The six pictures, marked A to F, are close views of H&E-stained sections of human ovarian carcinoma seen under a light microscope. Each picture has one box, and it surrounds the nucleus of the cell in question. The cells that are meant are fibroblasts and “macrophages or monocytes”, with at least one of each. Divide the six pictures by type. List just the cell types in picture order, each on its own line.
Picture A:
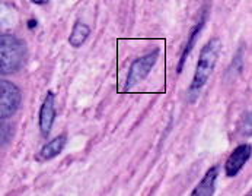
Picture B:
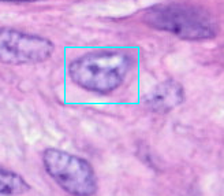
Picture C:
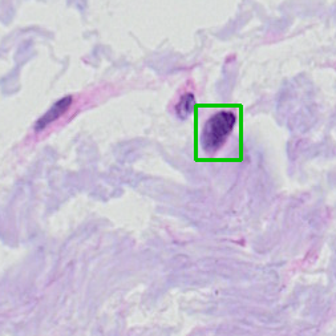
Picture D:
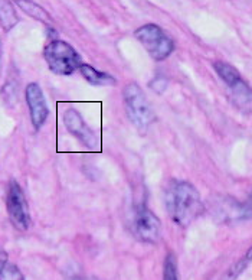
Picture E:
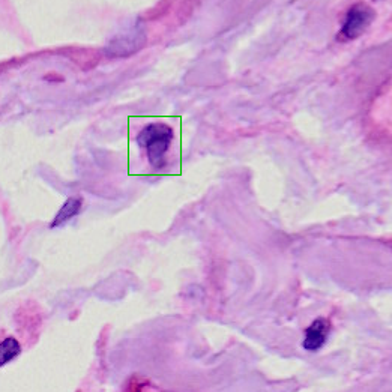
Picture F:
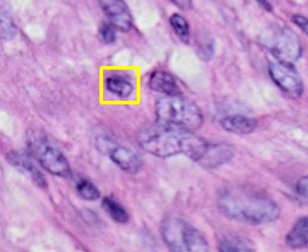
fibroblast
fibroblast
fibroblast
fibroblast
macrophage or monocyte
macrophage or monocyte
